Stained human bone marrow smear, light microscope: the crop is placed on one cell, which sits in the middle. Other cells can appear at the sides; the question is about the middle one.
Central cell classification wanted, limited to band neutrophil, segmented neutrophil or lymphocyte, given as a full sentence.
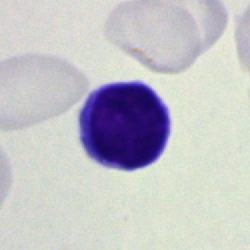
To answer, the cell in the center of the crop is a lymphocyte.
